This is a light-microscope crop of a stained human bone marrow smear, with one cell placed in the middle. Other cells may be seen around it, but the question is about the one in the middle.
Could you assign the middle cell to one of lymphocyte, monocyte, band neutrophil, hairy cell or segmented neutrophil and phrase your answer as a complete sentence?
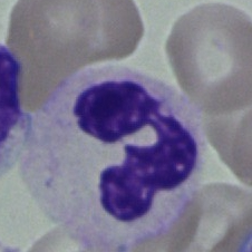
Regarding the central cell, it is a segmented neutrophil.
